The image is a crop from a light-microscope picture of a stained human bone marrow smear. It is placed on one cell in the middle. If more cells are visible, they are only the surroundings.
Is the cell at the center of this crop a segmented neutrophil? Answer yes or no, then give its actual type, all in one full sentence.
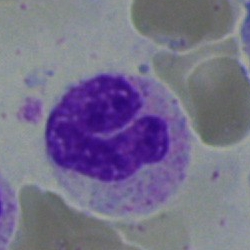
No, calling it a segmented neutrophil is wrong; the middle cell is a band neutrophil.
